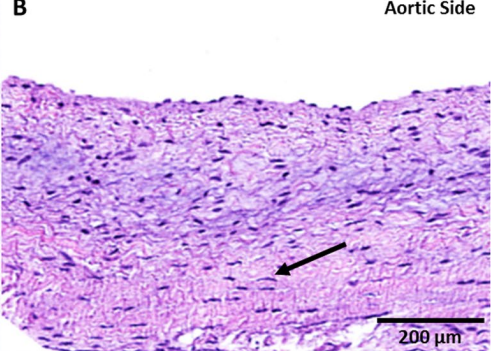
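This is a section through a heart valve cusp, showing its matrix with scattered cells. The matrix stains pink and violet, with looser, paler and more bluish areas in the upper part. Nuclei are dark purple and fewer than in a densely cellular tissue, many of them elongated and thin. In the lower part, elongated nuclei lie in a band running parallel to the surface within wavy fibrous matrix. The surface at the top is lined by a thin layer of flattened cells.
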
